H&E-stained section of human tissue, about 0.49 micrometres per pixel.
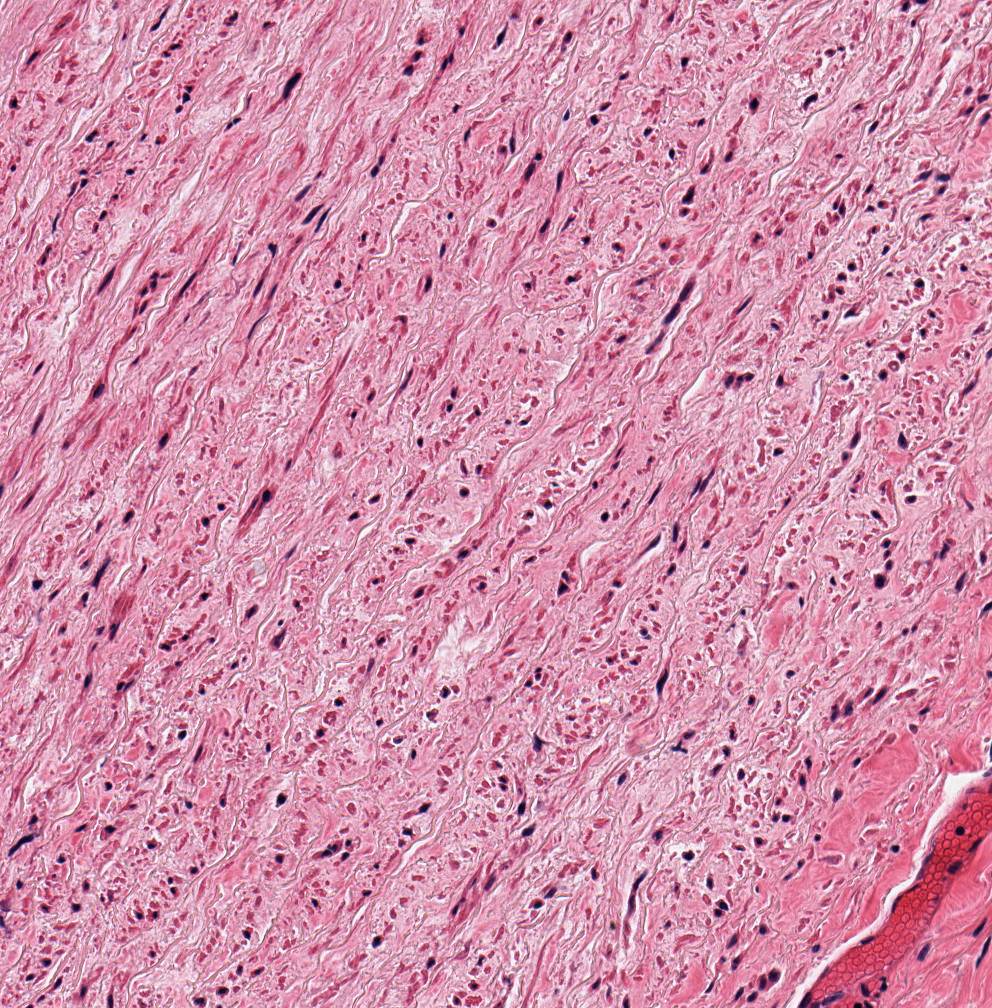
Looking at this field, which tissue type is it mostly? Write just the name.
tunica media of an artery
